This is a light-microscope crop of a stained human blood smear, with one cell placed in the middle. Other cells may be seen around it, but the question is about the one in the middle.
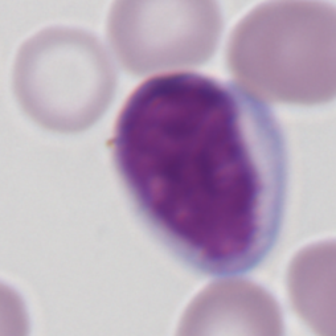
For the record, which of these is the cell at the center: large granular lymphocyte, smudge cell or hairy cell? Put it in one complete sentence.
To answer, the cell in the center of the crop is a large granular lymphocyte.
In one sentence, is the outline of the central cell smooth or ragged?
From every side, the cell boundary is smooth and free of projections.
